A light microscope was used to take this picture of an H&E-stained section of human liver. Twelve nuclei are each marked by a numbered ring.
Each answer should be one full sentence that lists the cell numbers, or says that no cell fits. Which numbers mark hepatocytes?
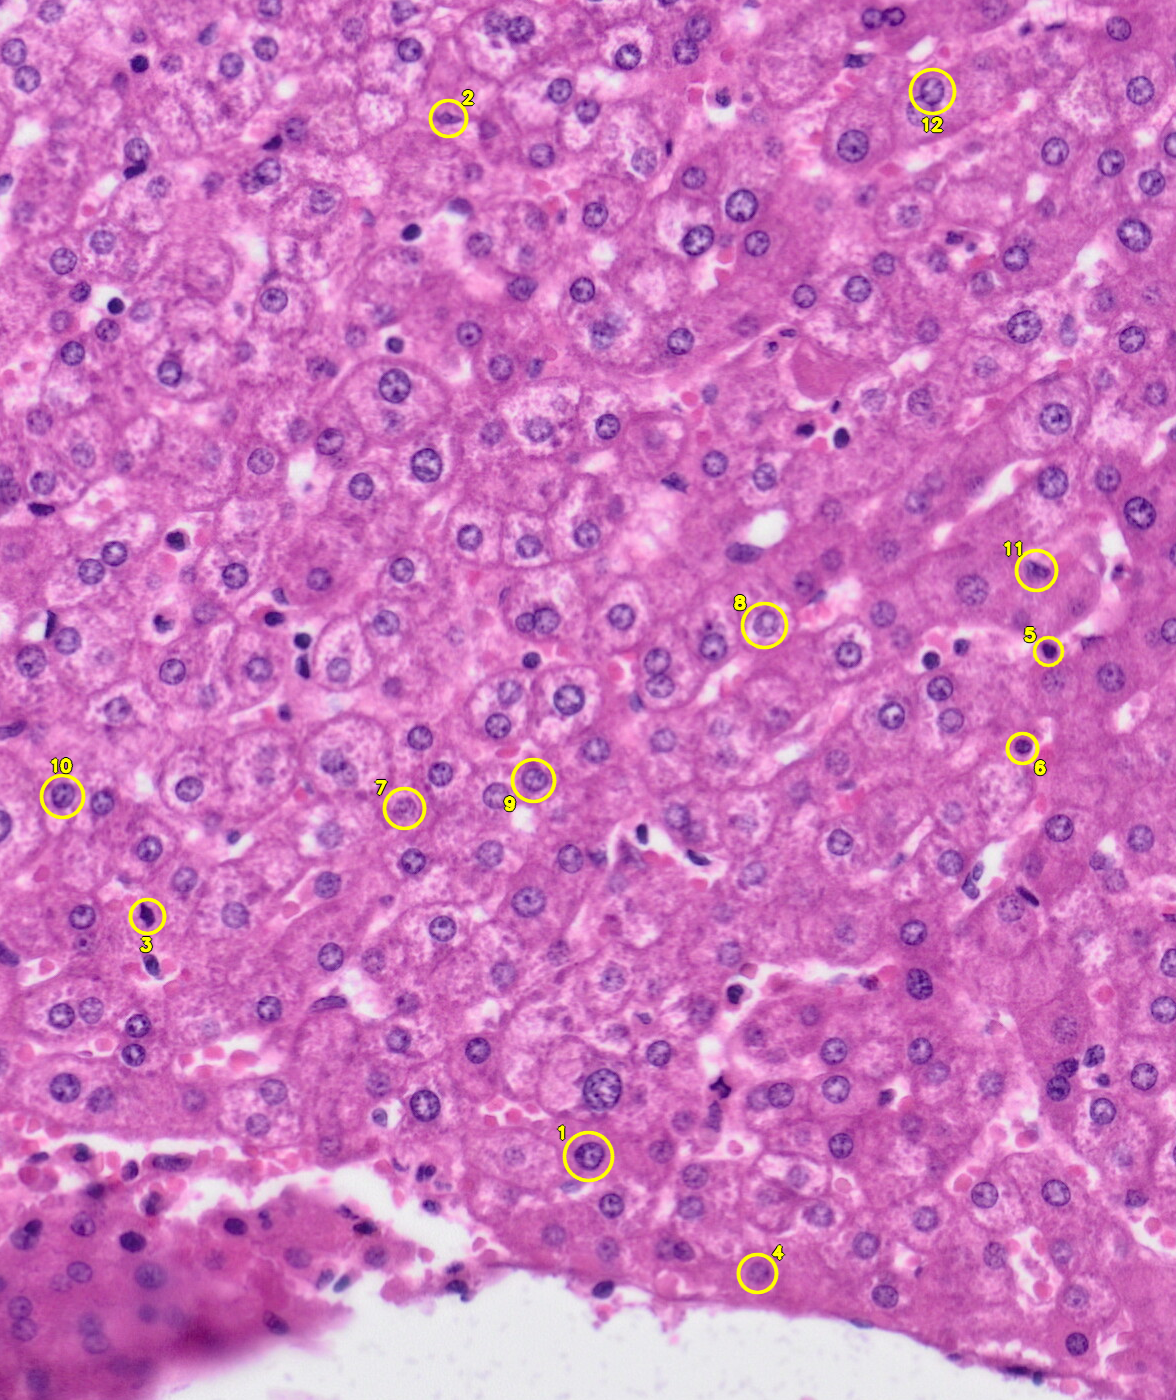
The cells with the numbers 1, 4, 7, 8, 9, 10 and 12 are hepatocytes.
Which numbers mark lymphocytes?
The cells numbered 5 and 6 fall into the category of lymphocytes.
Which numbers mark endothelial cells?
The cells labelled 2 and 11 in this section are endothelial cells.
